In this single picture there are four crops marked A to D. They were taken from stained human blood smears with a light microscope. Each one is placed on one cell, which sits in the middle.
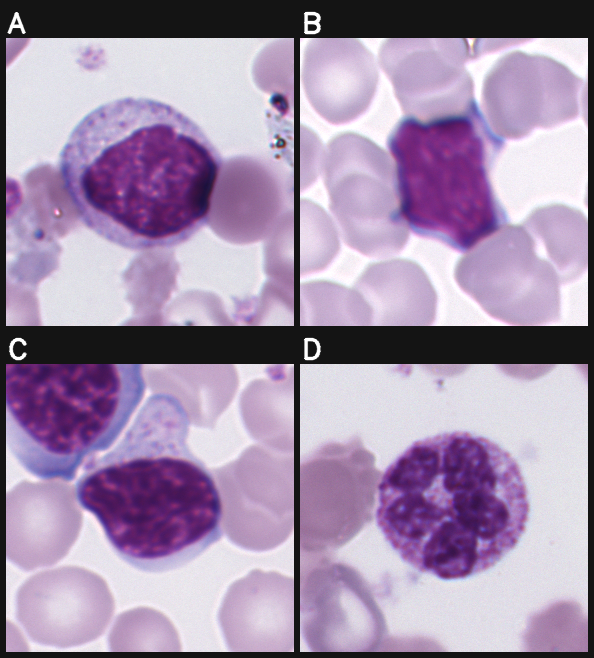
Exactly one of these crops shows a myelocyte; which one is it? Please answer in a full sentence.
The crop with a myelocyte in it is crop A.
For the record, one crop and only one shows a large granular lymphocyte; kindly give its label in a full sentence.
When the crops are compared, crop C is the one showing a large granular lymphocyte.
